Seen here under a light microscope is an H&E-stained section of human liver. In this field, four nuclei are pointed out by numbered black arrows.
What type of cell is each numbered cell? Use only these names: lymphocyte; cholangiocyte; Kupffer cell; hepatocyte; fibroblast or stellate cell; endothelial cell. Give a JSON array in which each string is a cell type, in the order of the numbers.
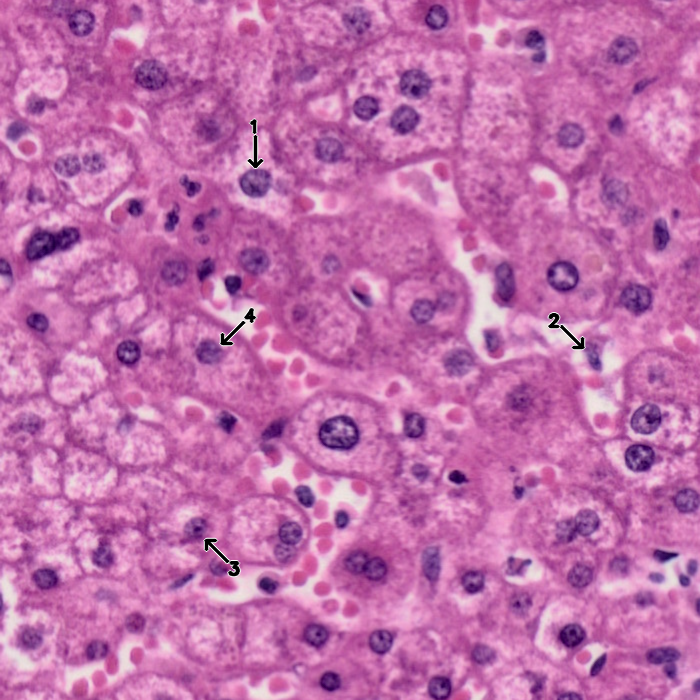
["hepatocyte", "Kupffer cell", "hepatocyte", "hepatocyte"]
